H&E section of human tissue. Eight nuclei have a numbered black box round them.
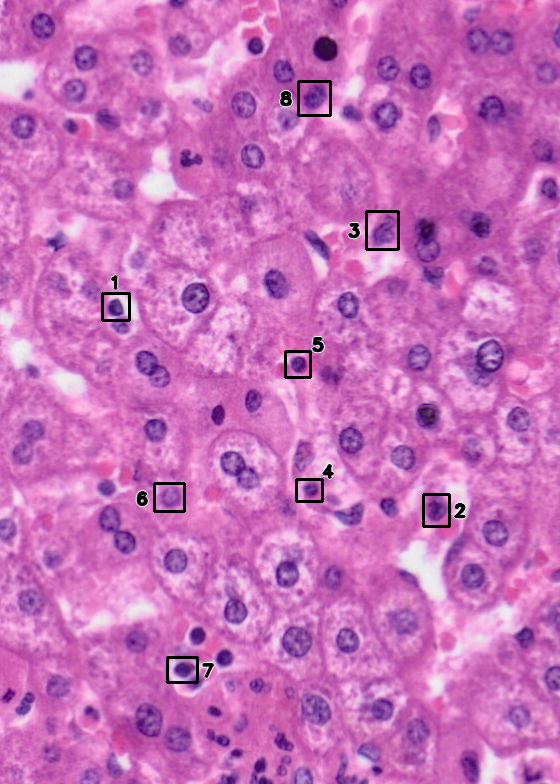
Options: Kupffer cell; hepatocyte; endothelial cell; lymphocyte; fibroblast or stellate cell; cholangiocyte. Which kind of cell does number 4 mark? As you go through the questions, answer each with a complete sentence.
The cell marked with number 4 is a lymphocyte.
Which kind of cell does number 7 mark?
The cell whose nucleus carries the number 7 is a lymphocyte.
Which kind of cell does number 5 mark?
Numbered cell 5 is a lymphocyte in this tissue section.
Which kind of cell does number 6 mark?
Cell 6 in the field is a hepatocyte.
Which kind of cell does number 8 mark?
The cell referred to as 8 is a fibroblast or stellate cell.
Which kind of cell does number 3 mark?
Of the numbered cells, the one labelled 3 is a Kupffer cell.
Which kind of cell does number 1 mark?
In this section, the cell numbered 1 is a lymphocyte.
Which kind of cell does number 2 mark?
The cell referenced by the number 2 is a Kupffer cell in this field.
